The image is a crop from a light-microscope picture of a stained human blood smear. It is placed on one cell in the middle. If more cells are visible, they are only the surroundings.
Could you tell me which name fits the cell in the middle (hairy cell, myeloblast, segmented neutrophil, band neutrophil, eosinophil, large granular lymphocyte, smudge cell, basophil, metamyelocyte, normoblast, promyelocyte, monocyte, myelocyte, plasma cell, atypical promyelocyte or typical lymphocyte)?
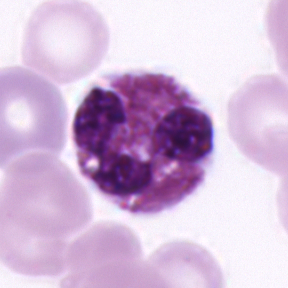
eosinophil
